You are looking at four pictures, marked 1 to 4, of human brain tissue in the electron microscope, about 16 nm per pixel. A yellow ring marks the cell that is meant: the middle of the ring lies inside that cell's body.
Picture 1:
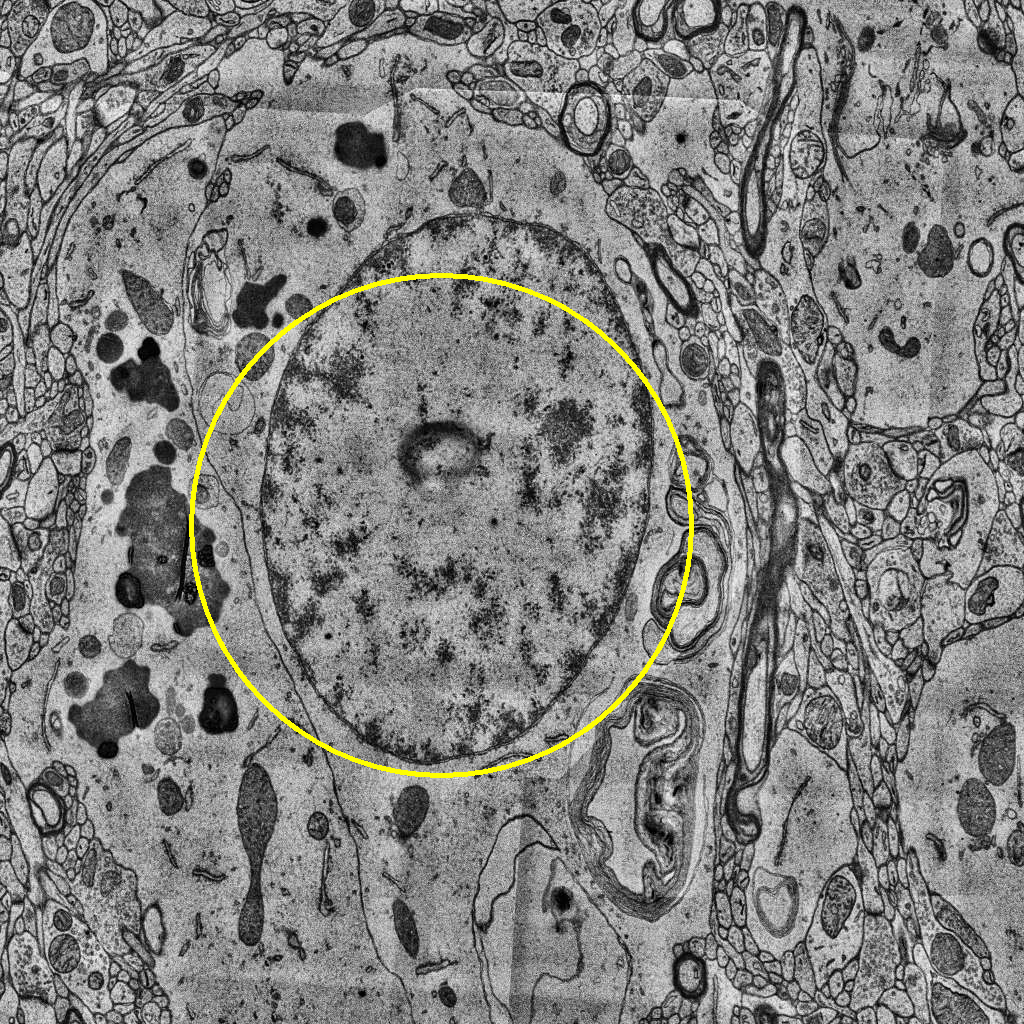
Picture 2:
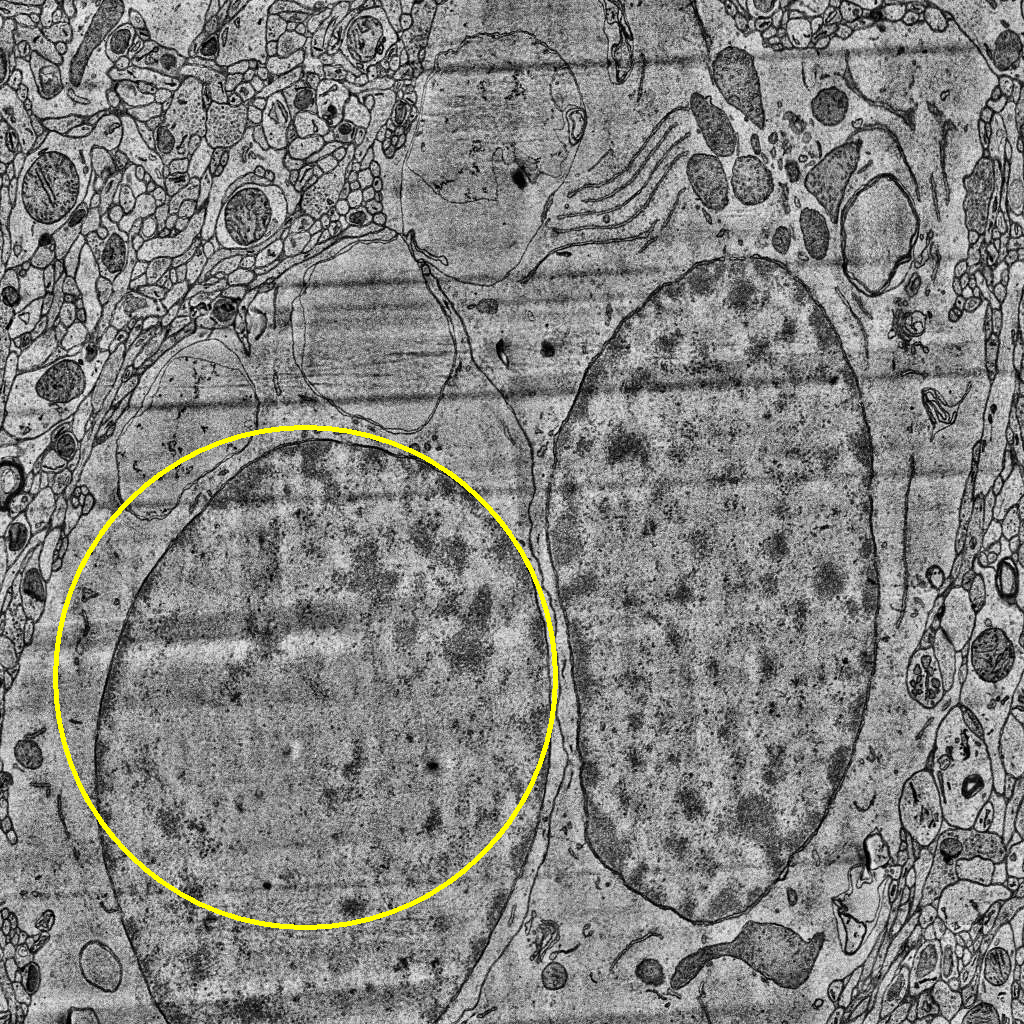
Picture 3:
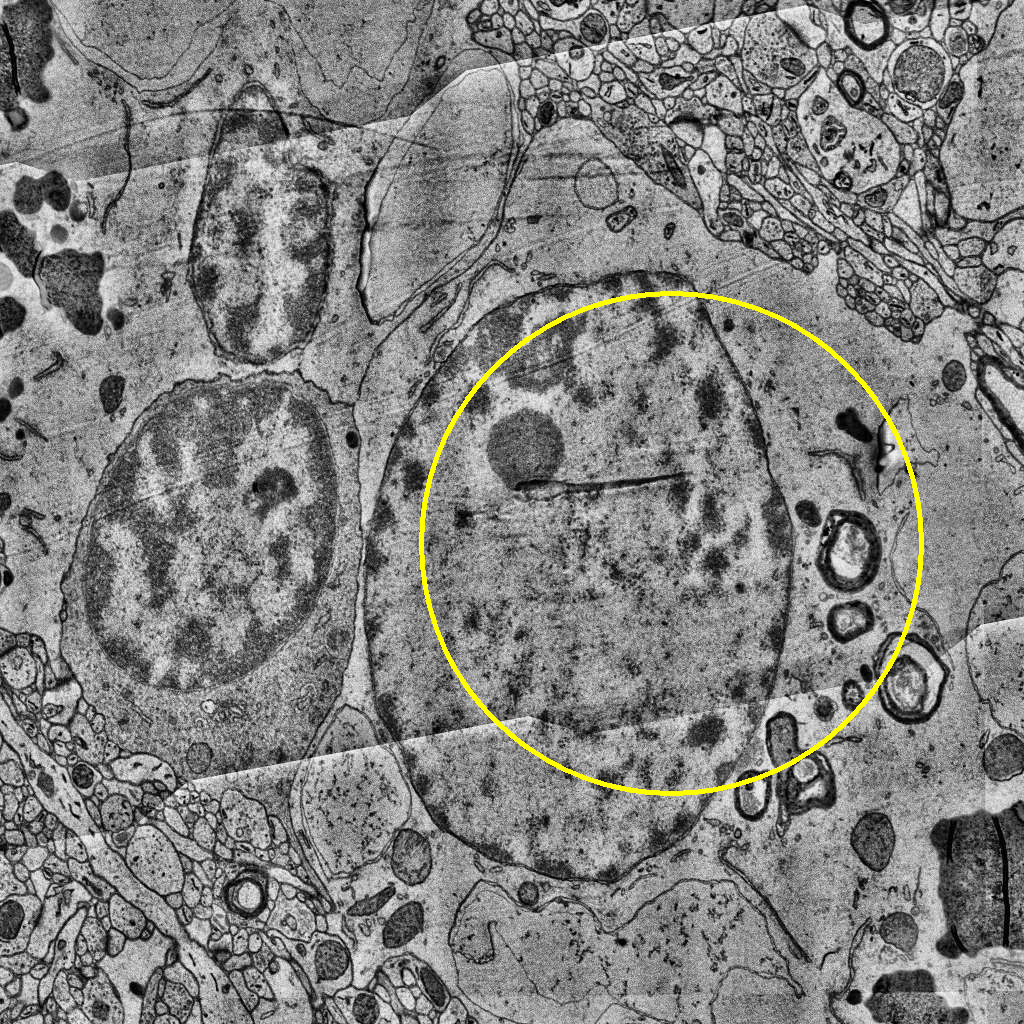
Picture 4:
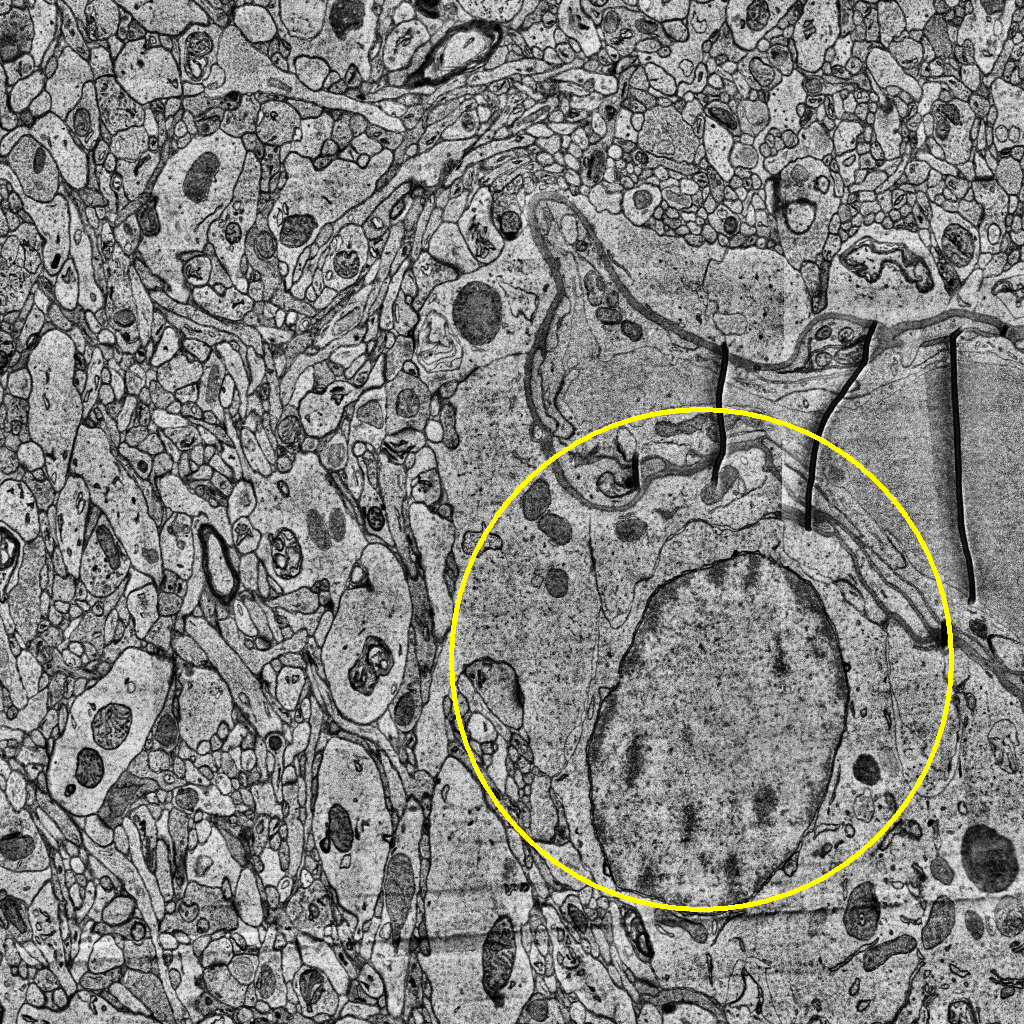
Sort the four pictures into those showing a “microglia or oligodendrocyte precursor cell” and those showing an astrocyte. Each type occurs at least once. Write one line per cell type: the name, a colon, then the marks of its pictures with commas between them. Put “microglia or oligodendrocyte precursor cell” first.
microglia or oligodendrocyte precursor cell: 4
astrocyte: 1, 2, 3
